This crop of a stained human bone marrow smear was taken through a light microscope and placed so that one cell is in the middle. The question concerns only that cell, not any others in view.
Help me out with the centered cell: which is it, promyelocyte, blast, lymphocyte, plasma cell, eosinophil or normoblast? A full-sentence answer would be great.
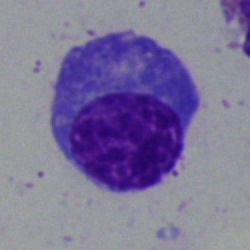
Centrally within this crop lies a plasma cell.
